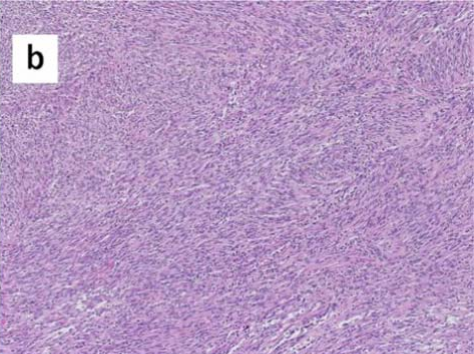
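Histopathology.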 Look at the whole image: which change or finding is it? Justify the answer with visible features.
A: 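Elongated cells are aligned in streaming fascicles. Fascicles run in different directions across the field. That points to this answer: bundle-like proliferation.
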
